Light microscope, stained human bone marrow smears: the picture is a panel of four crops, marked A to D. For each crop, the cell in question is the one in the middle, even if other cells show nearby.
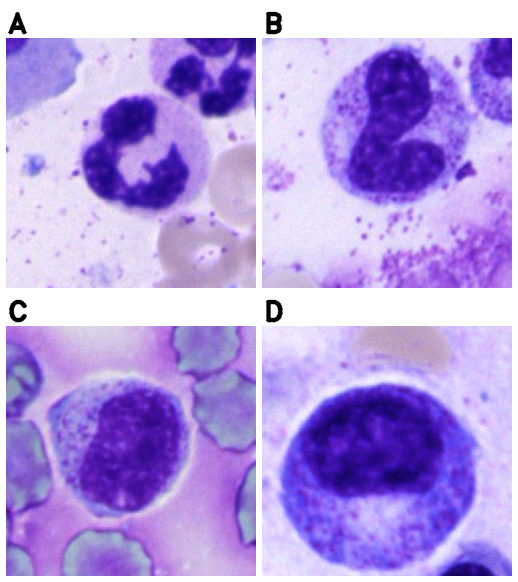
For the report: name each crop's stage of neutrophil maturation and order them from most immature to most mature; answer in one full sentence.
From lowest to highest maturity, the crops run crop D (a promyelocyte), crop C (a myelocyte), crop B (a band neutrophil) and crop A (a segmented neutrophil).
